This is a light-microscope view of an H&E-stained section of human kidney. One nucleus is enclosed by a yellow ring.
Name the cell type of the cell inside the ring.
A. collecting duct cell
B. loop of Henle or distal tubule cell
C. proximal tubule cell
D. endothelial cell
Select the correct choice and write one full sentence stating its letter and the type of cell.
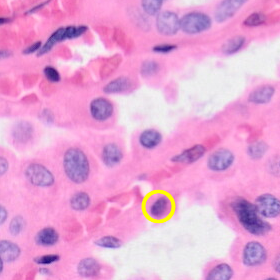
The item is answered by option B: the cell inside the ring is a loop of Henle or distal tubule cell.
